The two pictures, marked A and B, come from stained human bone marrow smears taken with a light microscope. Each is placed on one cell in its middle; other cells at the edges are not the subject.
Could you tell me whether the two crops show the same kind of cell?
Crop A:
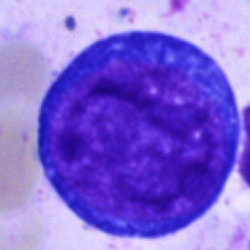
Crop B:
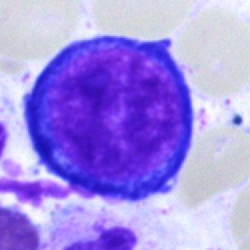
yes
